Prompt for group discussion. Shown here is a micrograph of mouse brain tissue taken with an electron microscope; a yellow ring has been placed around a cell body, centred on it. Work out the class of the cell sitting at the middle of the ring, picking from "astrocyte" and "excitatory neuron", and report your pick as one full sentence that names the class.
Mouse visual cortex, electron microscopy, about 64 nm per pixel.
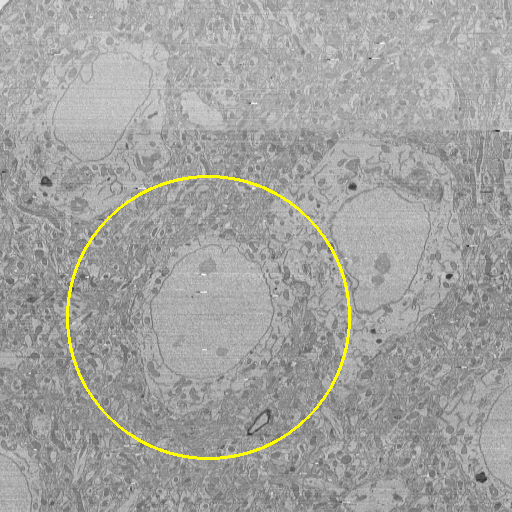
The cell sitting at the middle of the yellow ring is an excitatory neuron.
